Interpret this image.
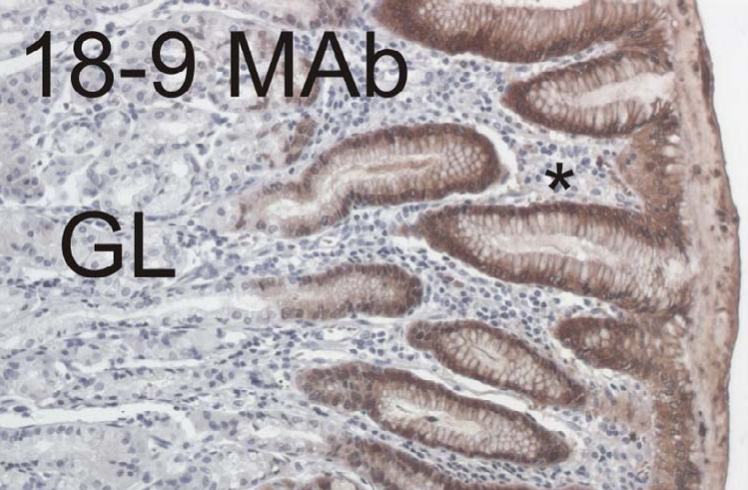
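This is antral gastric mucosa, with tall columnar surface epithelial cells lining the surface and elongated foveolae on the right and coiled glands deeper on the left. The surface and pit epithelium is stained brown, with pale apical cytoplasm and small basal nuclei in a single row. Between the pits lies lamina propria packed with small round blue nuclei, while the deeper glands are largely pale, only faintly tinted.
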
